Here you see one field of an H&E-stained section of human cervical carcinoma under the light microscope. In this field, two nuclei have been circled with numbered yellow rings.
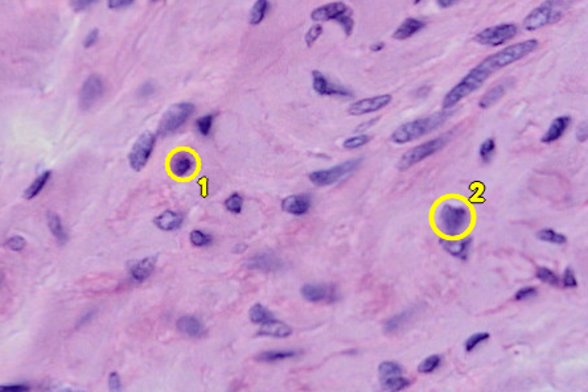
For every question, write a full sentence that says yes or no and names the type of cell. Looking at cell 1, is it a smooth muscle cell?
Yes, the marked cell numbered 1 is a smooth muscle cell.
